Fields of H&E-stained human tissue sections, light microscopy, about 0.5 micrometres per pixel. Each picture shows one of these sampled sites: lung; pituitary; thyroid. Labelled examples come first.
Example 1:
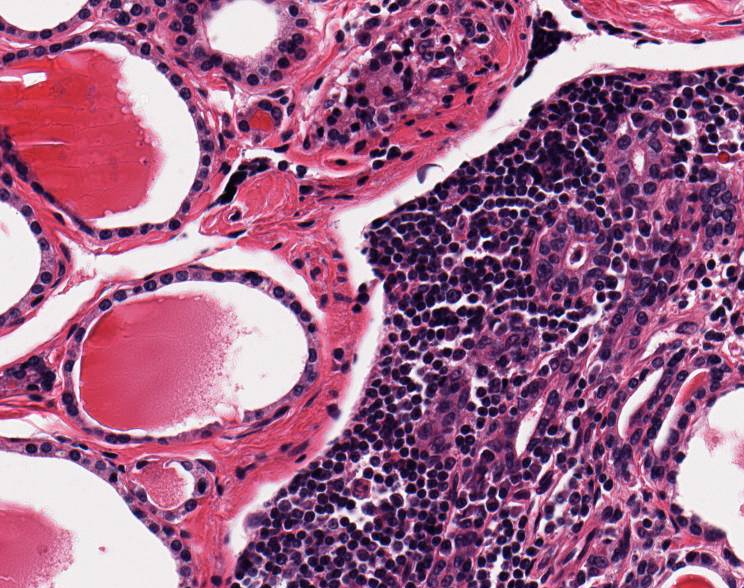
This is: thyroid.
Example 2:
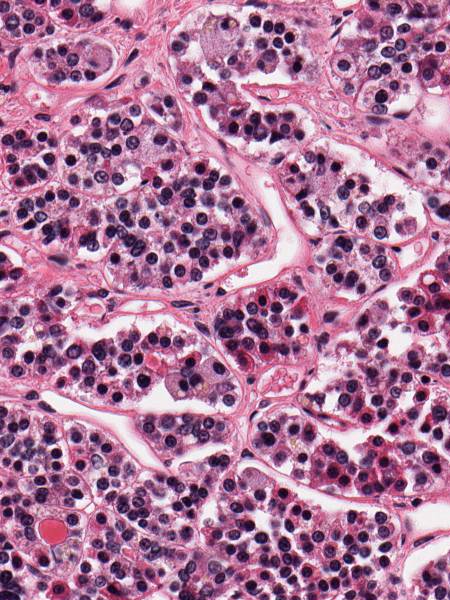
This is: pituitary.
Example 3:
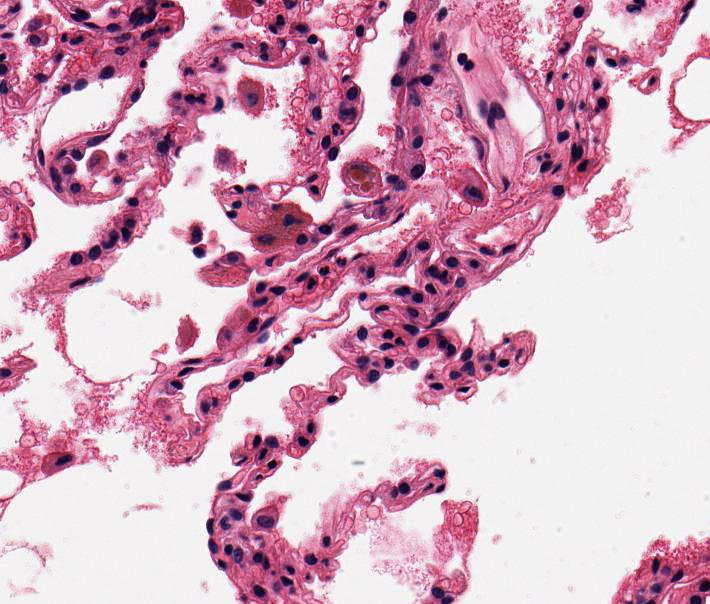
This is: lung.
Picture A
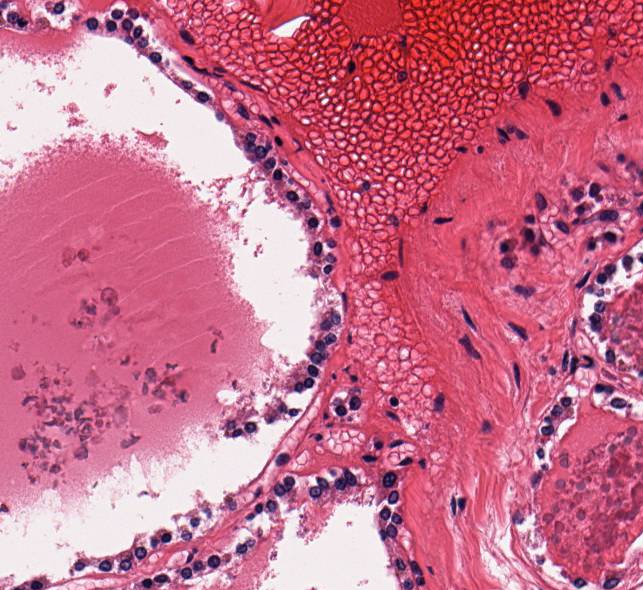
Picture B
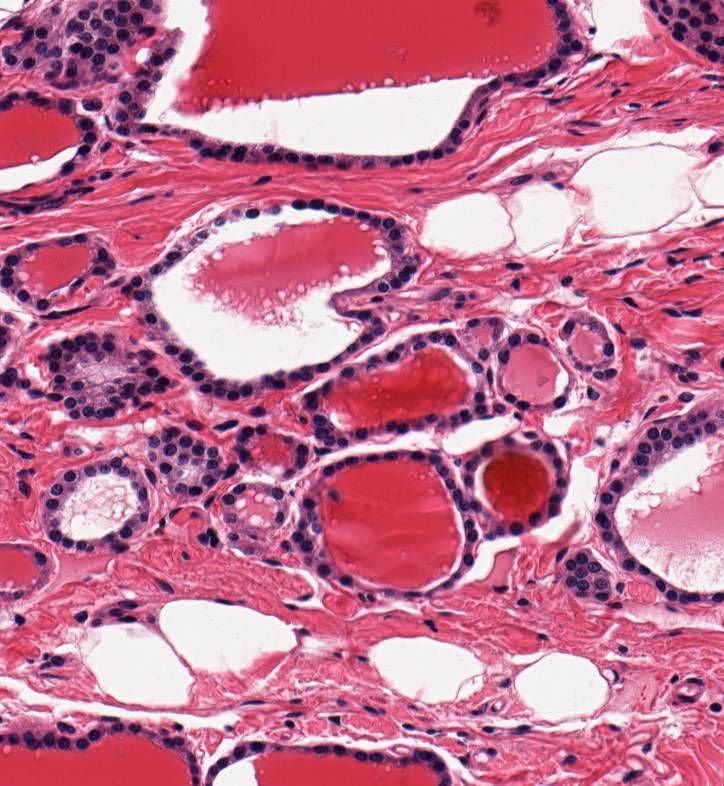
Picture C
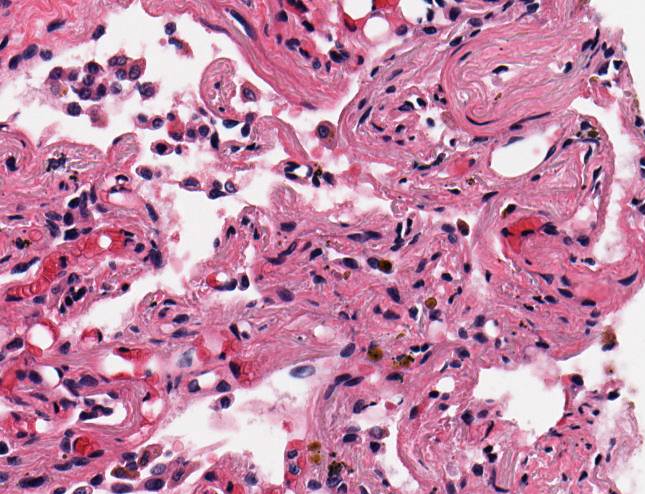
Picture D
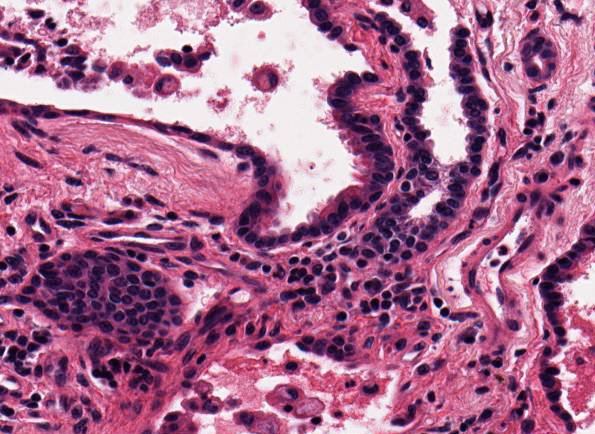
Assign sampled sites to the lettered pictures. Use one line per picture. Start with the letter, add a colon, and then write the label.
A: thyroid.
B: thyroid.
C: lung.
D: lung.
